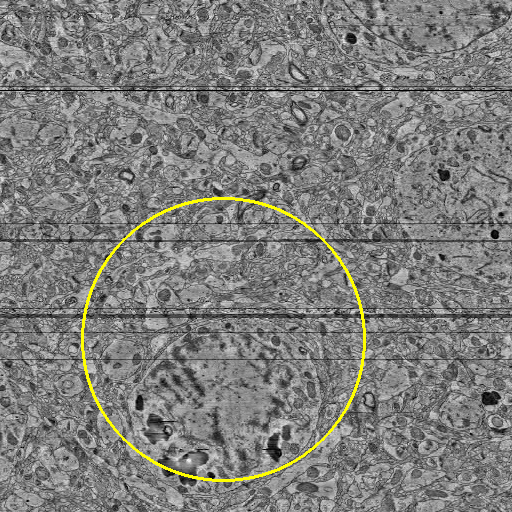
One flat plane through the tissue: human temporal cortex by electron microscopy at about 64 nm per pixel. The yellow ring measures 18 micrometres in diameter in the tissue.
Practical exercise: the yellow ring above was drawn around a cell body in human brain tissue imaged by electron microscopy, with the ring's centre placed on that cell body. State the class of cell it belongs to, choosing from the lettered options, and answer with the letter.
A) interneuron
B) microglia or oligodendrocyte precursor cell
A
